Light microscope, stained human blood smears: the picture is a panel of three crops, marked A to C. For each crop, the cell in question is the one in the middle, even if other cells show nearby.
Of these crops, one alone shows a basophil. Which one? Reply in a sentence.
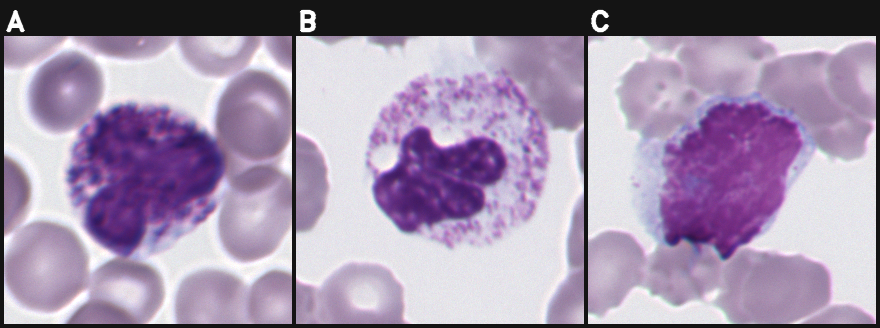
Among all the crops given here, the one with a basophil is crop A.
